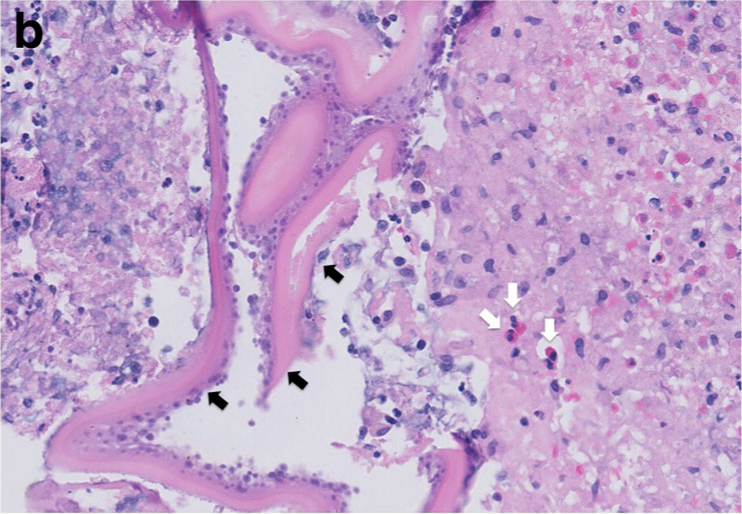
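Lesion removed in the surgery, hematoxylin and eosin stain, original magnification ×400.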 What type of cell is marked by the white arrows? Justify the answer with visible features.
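The marked cells have bright red-orange granular cytoplasm. The marked cells have small dark, partly lobed nuclei. They lie scattered in pale pink granular tissue. That points to this answer: eosinophil granulocytes.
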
